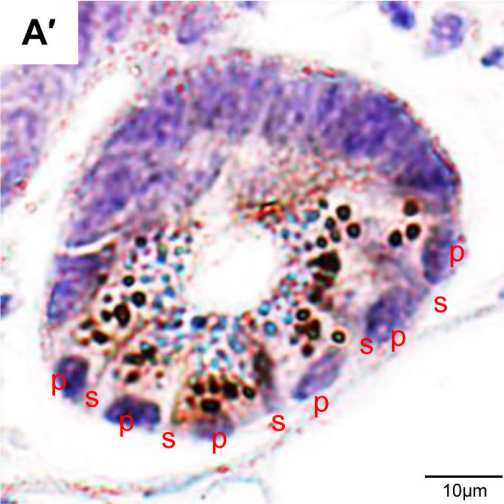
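This is a single intestinal crypt cut across, with Paneth cells ringing the lumen at its base. Their apical cytoplasm is packed with round secretory granules, many of them dark brown to black, others pale bluish, crowding around the small central lumen. The purple nuclei of these cells sit at the outer, basal edge. The upper part of the crypt shows columnar epithelial cells with purple nuclei and no brown granules.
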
